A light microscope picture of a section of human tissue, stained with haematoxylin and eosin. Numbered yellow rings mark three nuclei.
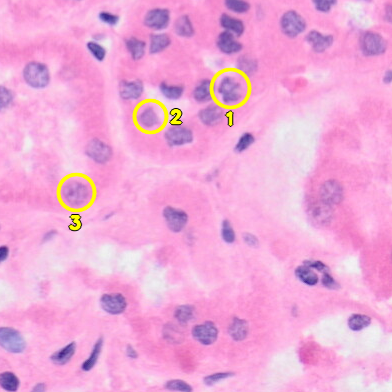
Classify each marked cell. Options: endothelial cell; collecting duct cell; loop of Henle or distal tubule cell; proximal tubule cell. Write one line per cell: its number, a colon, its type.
1: loop of Henle or distal tubule cell
2: loop of Henle or distal tubule cell
3: proximal tubule cell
